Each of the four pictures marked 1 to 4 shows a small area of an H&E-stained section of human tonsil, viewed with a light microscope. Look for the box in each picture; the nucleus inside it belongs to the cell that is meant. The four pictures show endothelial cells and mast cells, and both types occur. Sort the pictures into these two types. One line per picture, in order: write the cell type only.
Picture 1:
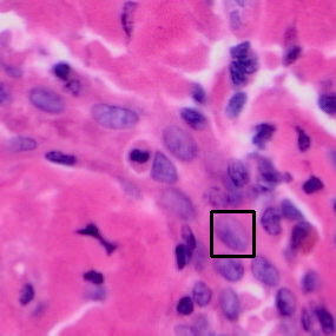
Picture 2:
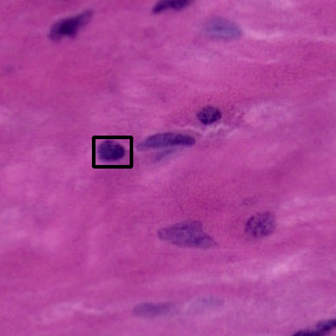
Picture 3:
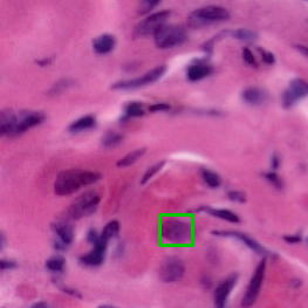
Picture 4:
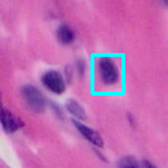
endothelial cell
mast cell
endothelial cell
mast cell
